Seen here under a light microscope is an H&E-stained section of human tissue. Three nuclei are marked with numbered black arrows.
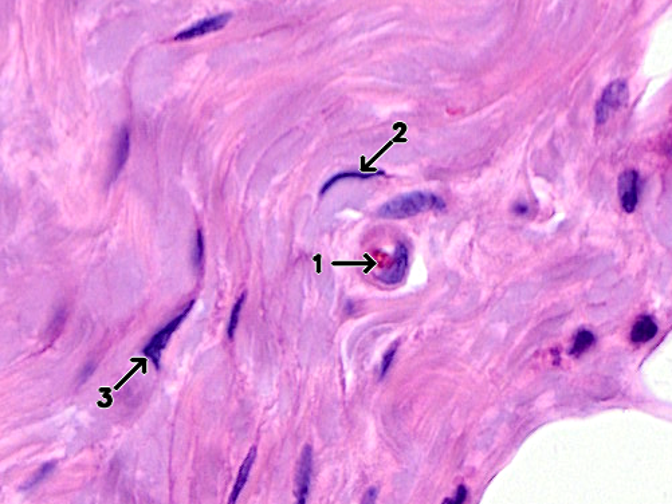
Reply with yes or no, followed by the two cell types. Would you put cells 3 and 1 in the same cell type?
No, cell 3 is a fibroblast and cell 1 is an endothelial cell.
